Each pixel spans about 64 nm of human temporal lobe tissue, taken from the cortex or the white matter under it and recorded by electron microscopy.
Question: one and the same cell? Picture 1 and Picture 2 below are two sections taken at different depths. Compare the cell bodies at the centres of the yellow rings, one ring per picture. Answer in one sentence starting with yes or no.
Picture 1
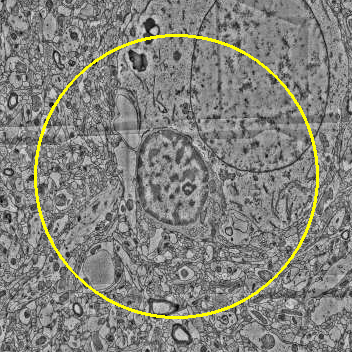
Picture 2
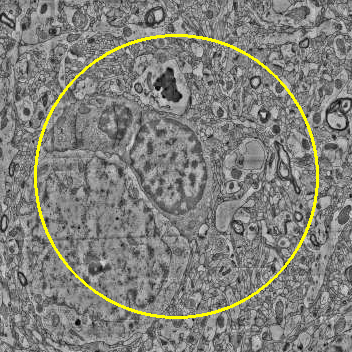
No, within the two rings lie two different cells.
